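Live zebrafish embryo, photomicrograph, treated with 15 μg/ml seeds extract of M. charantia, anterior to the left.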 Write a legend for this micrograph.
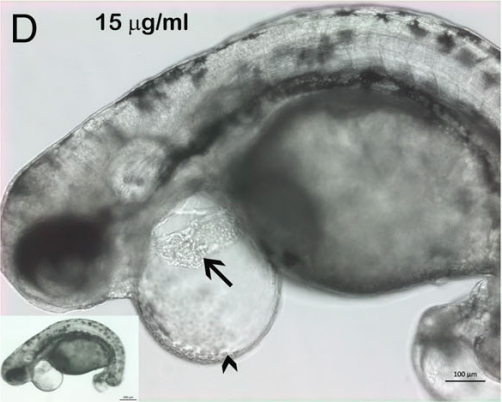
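Below the head a round, clear, thin-walled sac balloons outward in front of the yolk, much larger than normal. Inside this sac the heart appears only as a thin, crumpled strand of tissue rather than a looped tube with distinct chambers. Dark star-shaped pigment cells are scattered along the back.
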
